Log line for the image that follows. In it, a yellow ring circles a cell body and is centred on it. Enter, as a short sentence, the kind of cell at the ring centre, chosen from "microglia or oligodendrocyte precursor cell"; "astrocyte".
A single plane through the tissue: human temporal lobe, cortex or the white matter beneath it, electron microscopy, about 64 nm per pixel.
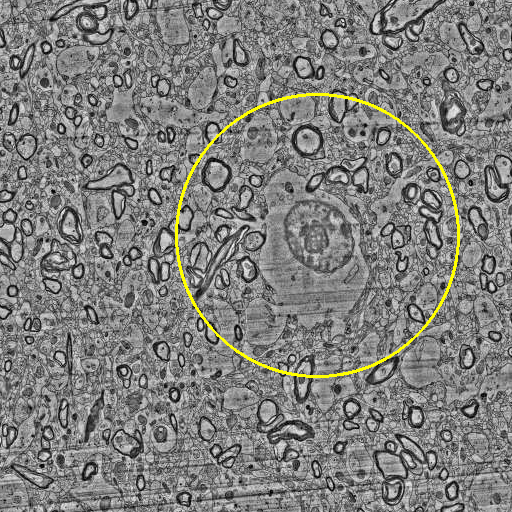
The ring centre is occupied by an astrocyte.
